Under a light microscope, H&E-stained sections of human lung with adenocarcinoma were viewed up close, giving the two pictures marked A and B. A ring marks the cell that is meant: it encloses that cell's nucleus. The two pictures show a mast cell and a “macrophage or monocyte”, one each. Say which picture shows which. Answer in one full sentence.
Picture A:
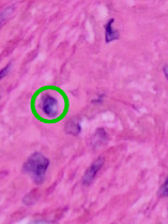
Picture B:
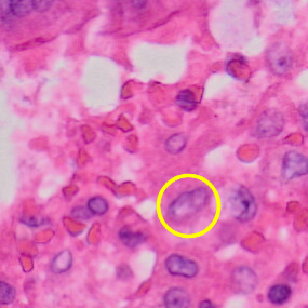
In picture A the cell is a mast cell; in picture B, a “macrophage or monocyte”.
